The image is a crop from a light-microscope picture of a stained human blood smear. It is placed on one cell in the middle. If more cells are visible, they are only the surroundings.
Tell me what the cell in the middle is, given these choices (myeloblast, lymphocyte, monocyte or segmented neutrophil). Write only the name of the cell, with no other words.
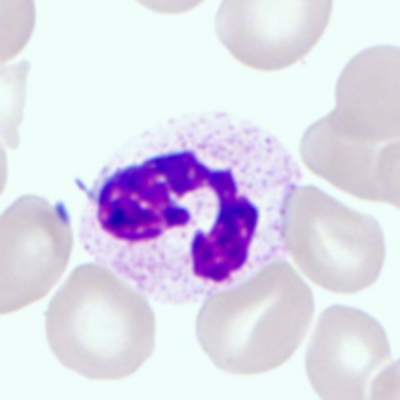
segmented neutrophil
